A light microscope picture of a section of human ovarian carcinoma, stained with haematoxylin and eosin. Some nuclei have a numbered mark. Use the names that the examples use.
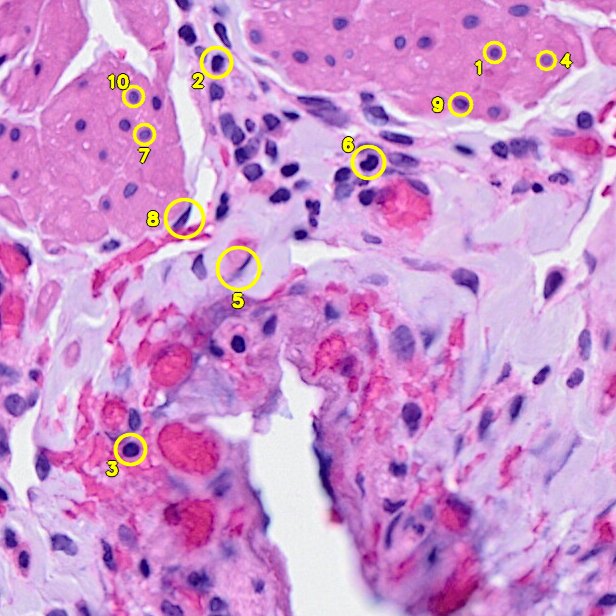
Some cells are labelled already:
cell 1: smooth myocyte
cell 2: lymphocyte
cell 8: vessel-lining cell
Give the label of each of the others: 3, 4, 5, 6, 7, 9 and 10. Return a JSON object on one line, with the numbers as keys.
{"3": "lymphocyte", "4": "smooth myocyte", "5": "vessel-lining cell", "6": "lymphocyte", "7": "smooth myocyte", "9": "smooth myocyte", "10": "smooth myocyte"}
